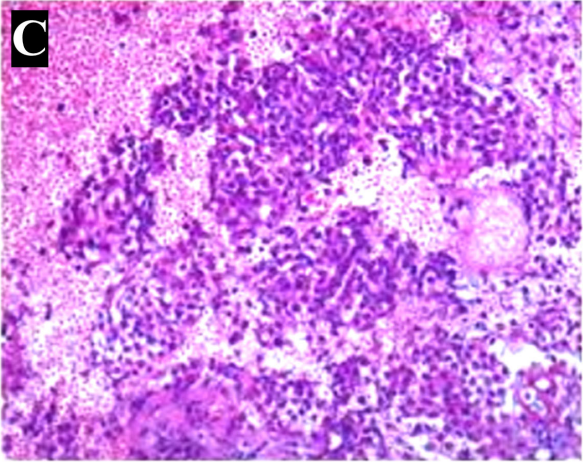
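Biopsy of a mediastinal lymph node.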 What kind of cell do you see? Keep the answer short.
monotonous tumor cells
